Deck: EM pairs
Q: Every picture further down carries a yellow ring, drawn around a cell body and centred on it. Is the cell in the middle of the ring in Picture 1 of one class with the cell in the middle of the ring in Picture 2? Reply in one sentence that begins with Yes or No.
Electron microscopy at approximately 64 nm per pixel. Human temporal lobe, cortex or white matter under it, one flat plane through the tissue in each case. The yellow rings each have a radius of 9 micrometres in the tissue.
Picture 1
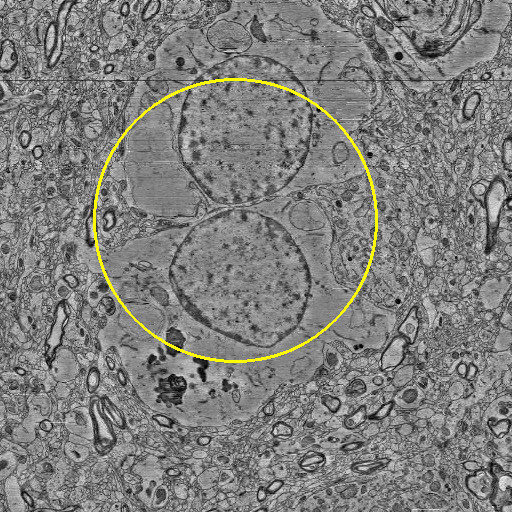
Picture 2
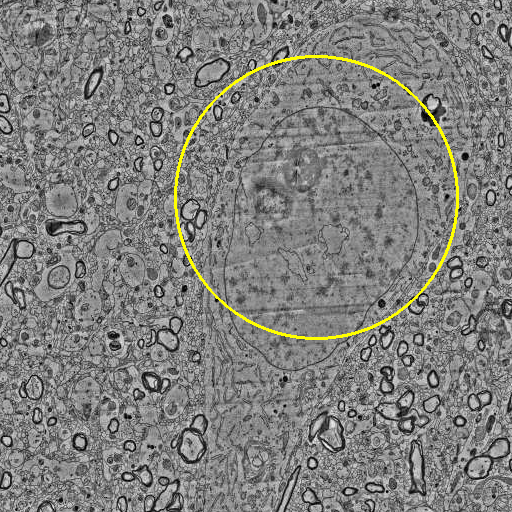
No, the cell centred in the ring of Picture 1 and the one in Picture 2 belong to separate classes.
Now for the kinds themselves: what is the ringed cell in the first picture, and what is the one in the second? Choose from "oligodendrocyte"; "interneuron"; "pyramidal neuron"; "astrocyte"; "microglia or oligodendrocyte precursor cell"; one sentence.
Here the first cell is an astrocyte and the second cell is a pyramidal neuron.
